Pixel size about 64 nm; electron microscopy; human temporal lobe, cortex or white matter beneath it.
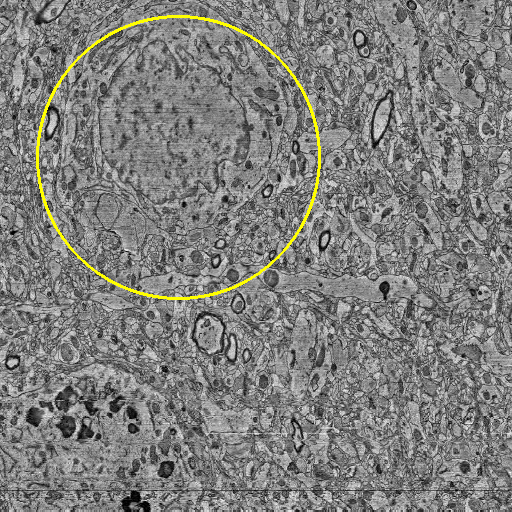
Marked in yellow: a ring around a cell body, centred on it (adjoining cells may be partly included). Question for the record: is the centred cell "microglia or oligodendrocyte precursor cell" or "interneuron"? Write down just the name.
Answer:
interneuron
